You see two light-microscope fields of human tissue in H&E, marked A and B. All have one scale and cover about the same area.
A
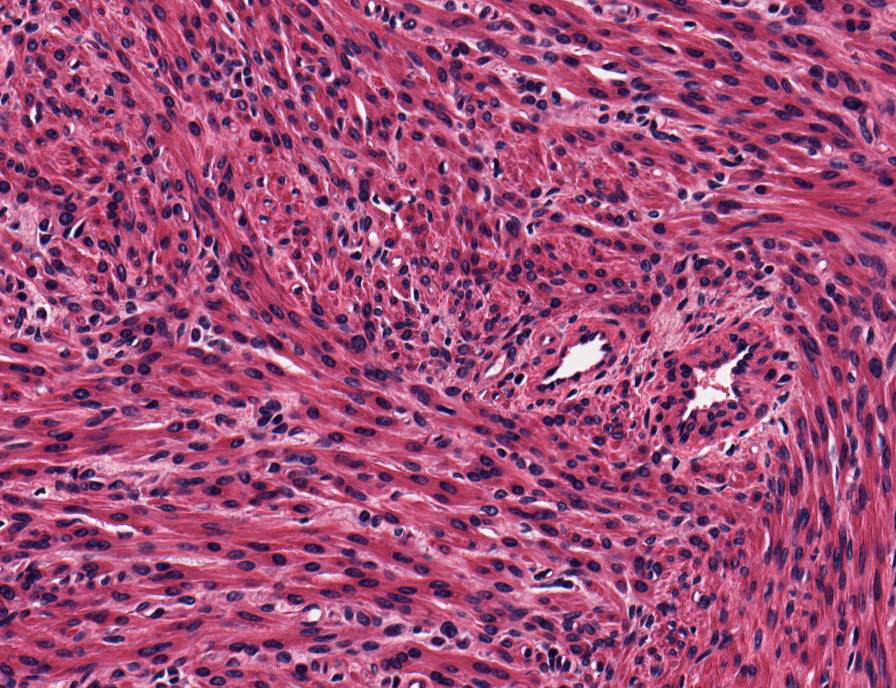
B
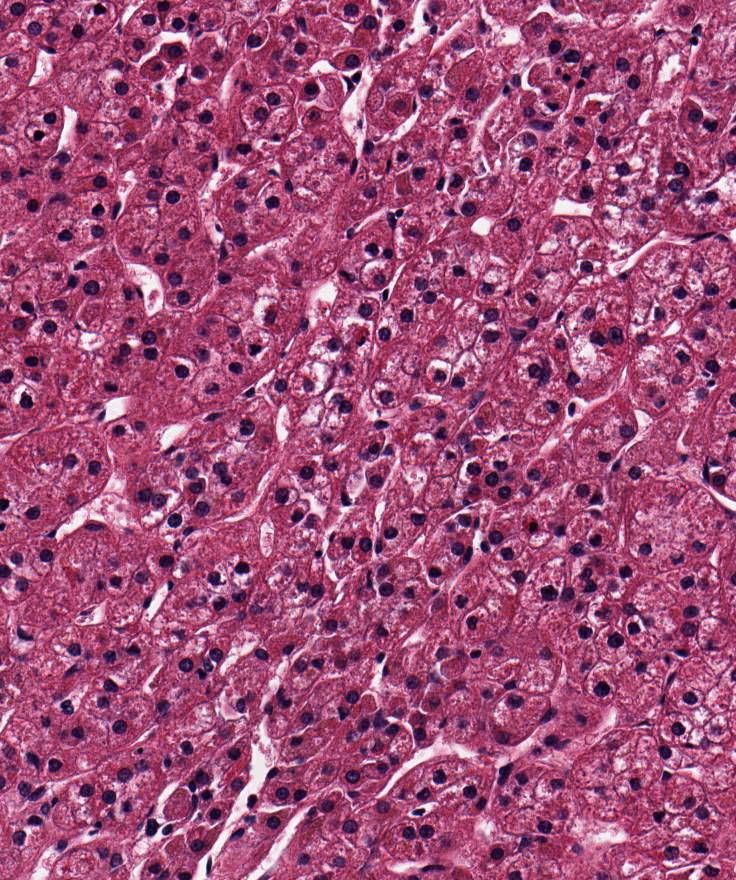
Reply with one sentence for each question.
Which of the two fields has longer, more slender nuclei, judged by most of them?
On the whole the nuclei of field A are more drawn out than those of field B.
